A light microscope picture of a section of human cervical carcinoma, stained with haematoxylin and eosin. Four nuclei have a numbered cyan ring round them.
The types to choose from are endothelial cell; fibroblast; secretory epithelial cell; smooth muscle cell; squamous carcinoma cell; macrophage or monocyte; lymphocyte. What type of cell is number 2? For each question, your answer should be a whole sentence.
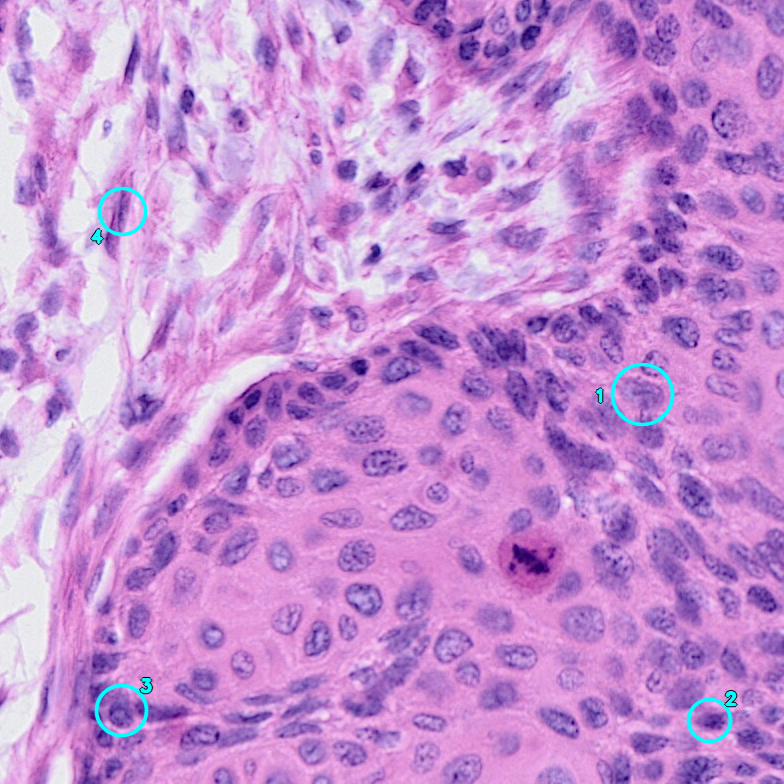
Within this field of view, the cell labelled 2 is a squamous carcinoma cell.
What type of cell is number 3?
The marked cell bearing number 3 is a squamous carcinoma cell.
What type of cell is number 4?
Corresponding to a fibroblast is the cell labelled 4.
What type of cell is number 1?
What the number 1 marks in this field is a squamous carcinoma cell.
